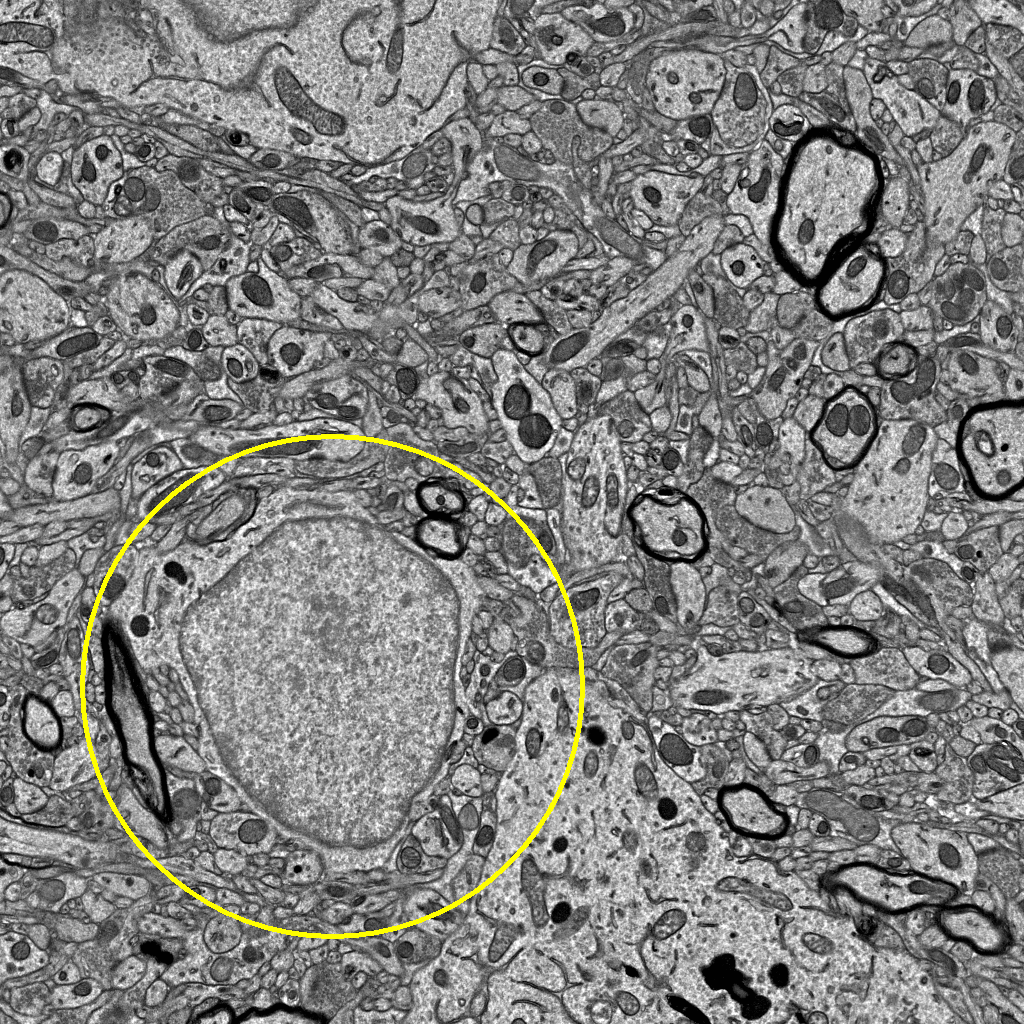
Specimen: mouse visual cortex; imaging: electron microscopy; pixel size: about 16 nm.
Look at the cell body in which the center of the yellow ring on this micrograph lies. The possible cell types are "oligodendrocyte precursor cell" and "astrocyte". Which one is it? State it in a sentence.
The cell at the middle of the ring is an oligodendrocyte precursor cell.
